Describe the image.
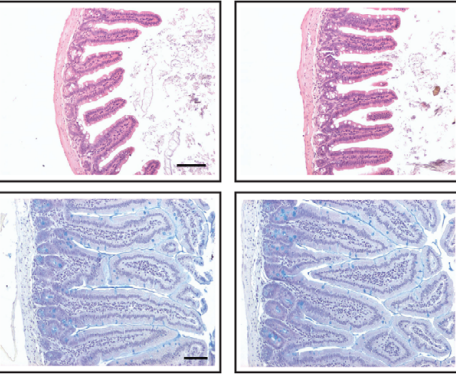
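Small intestinal wall with tall, finger-like villi projecting into the lumen, shown in four sections. In the upper images, stained pink and purple, a thin pink muscular wall runs along one edge and the mucosa rises from it as parallel villi, each lined by a single layer of columnar epithelial cells with purple nuclei around a paler core. The lumen beyond holds loose pale debris. In the lower images the tissue is pale blue-grey, with nuclei dark along the epithelium, and scattered single cells within the epithelial lining are stained bright blue. Crypts lie at the bases of the villi near the wall.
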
